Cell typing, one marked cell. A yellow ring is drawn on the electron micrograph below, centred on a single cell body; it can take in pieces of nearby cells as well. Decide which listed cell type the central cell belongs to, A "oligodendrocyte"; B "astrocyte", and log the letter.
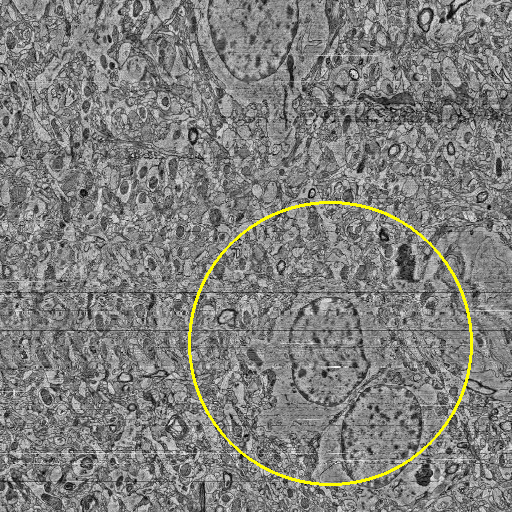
B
